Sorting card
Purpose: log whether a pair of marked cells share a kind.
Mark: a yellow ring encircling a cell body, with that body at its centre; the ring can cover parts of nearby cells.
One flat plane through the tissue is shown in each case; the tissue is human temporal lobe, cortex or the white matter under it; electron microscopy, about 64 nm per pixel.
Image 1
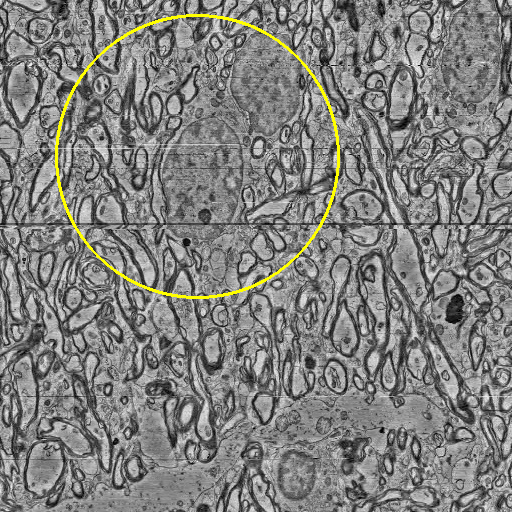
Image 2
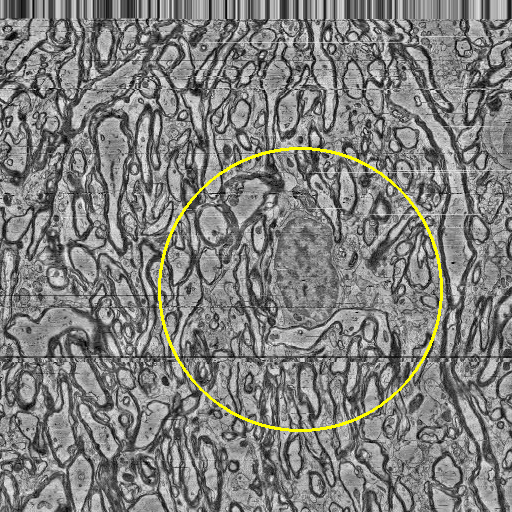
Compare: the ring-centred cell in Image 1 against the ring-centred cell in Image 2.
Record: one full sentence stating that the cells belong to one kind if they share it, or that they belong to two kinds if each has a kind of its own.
Across Images 1 and 2, the two ring-centred cells belong to one kind.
